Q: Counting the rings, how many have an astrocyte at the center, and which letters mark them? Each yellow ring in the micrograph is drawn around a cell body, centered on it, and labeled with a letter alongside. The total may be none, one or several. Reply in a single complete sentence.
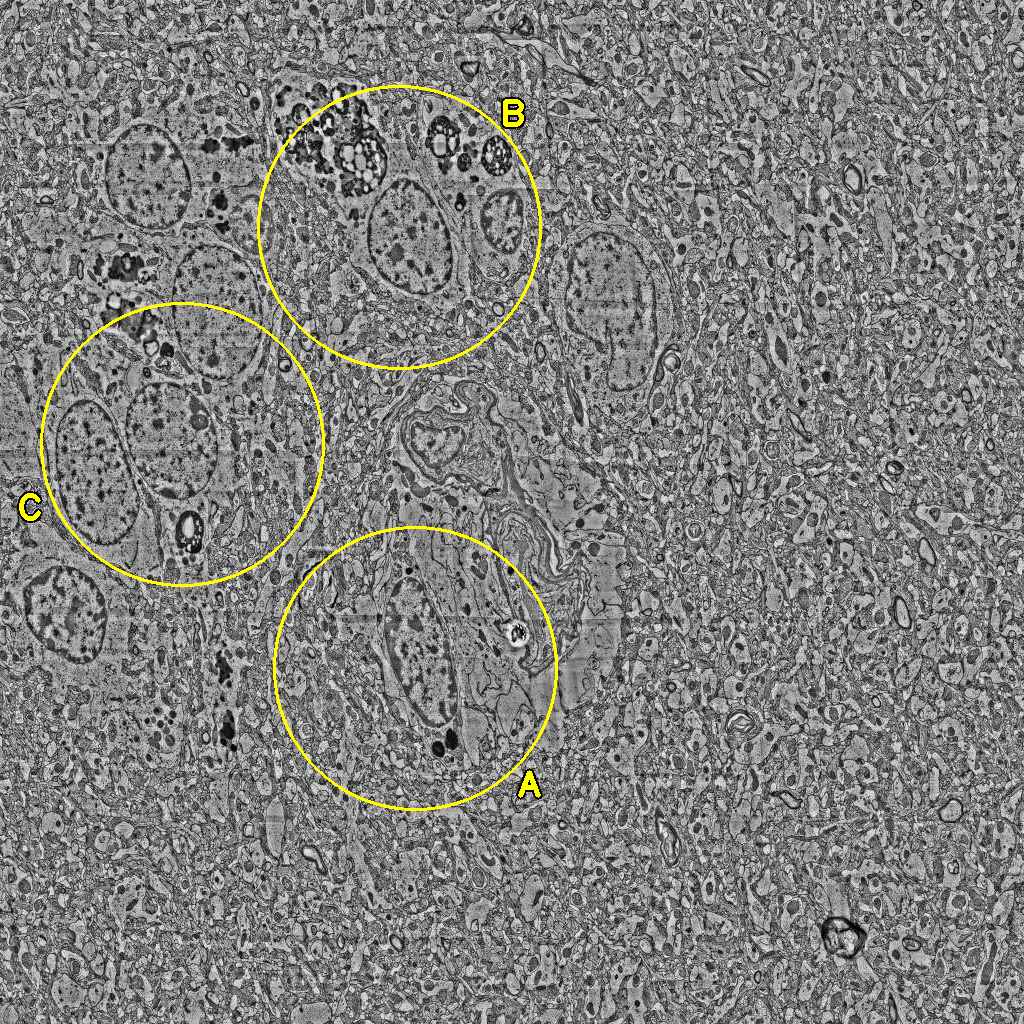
The rings carrying the letters B and C are two in total, each with an astrocyte at its centre.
